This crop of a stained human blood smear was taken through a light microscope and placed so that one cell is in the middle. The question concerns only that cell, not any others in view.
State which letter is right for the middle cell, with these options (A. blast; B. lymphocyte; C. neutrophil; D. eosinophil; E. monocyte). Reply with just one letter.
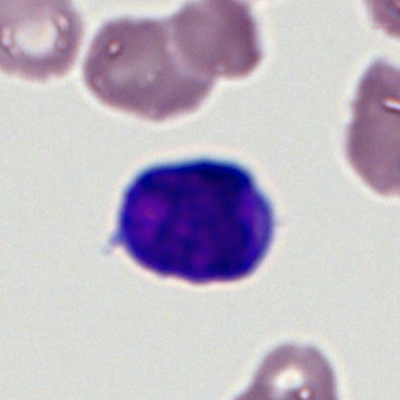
B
